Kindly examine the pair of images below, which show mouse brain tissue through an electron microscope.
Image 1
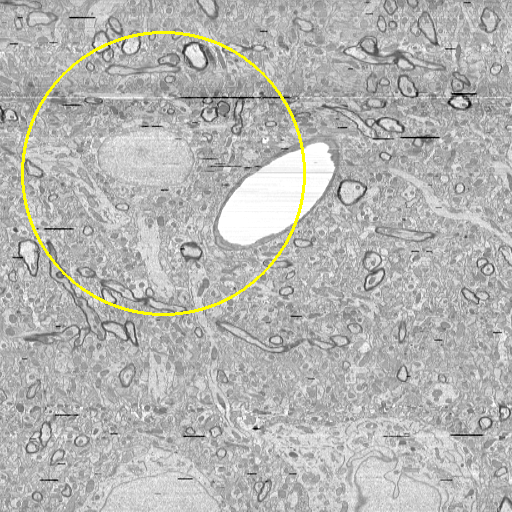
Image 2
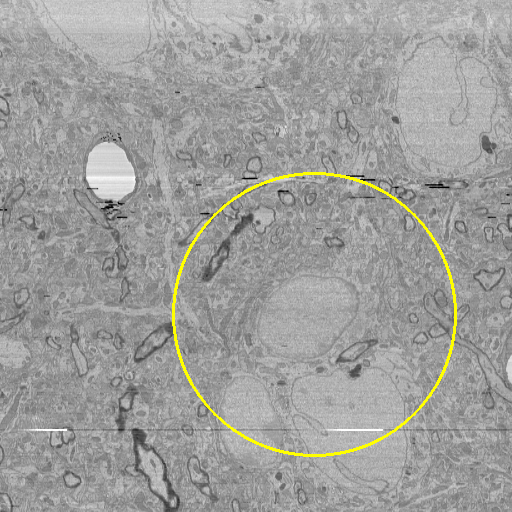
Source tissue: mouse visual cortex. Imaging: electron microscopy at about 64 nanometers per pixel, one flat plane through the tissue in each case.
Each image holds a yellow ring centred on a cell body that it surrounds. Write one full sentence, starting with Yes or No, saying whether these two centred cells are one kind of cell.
Yes, both cells at the centres of the yellow rings belong to one kind of cell.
